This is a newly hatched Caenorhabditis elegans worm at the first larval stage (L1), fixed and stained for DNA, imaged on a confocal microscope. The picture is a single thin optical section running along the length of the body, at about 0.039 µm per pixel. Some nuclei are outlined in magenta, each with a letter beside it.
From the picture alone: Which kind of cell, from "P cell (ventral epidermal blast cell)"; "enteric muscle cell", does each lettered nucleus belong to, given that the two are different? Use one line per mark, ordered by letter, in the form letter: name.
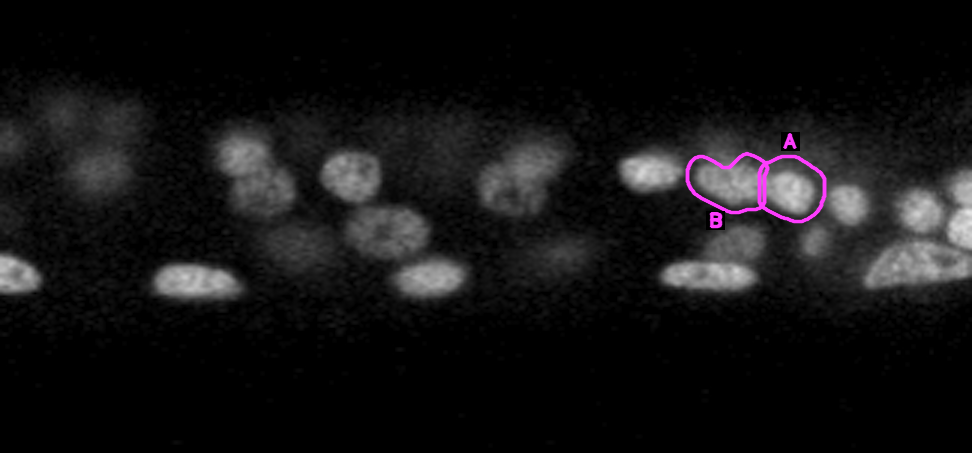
A: enteric muscle cell
B: P cell (ventral epidermal blast cell)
